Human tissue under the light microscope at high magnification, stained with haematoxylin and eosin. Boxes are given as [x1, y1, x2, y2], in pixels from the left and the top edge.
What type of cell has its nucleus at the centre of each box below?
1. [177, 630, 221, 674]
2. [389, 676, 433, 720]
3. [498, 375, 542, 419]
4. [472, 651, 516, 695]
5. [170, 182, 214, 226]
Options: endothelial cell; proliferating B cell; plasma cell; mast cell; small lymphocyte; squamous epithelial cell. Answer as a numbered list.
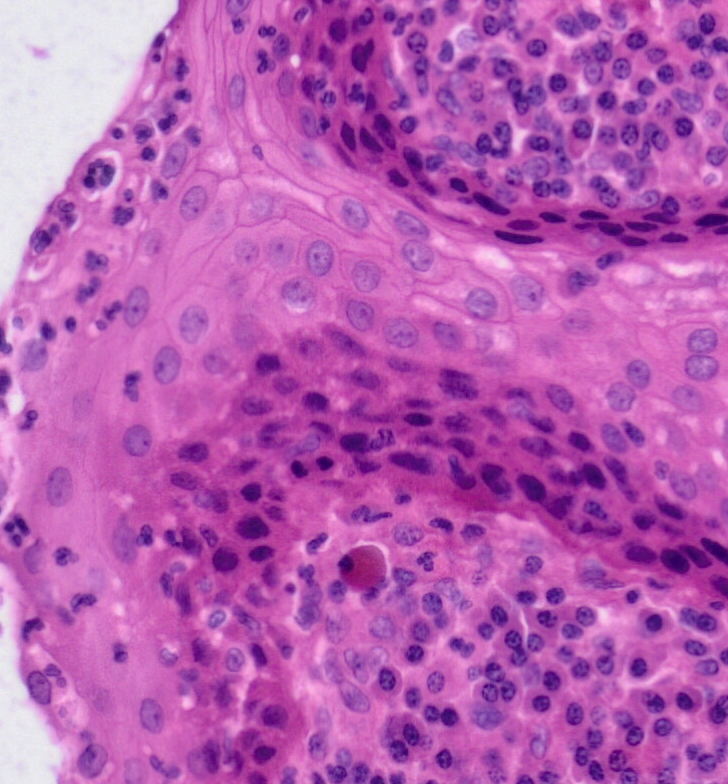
1. squamous epithelial cell
2. plasma cell
3. squamous epithelial cell
4. plasma cell
5. squamous epithelial cell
